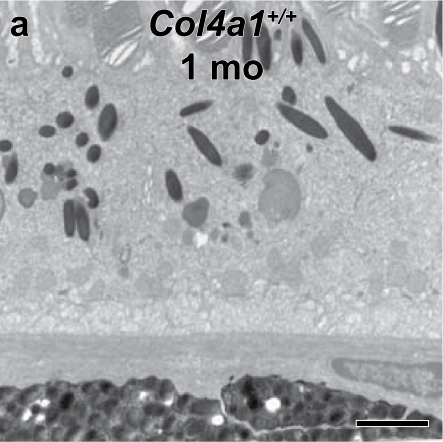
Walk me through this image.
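This electron micrograph shows the retinal pigment epithelium resting on Bruch’s membrane, with photoreceptor outer segments at the top. The epithelial cytoplasm contains many very dark melanin granules, some elongated and spindle-shaped, others round or oval, concentrated in the apical half of the cell. Toward the base the cytoplasm becomes paler and finely textured, ending at a thin, layered band of Bruch’s membrane. Beneath it lies choroidal tissue containing densely packed dark granular cells.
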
